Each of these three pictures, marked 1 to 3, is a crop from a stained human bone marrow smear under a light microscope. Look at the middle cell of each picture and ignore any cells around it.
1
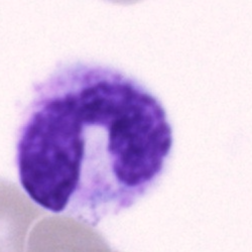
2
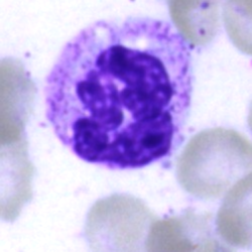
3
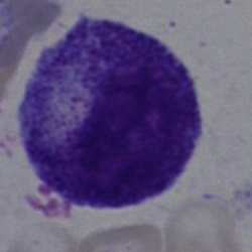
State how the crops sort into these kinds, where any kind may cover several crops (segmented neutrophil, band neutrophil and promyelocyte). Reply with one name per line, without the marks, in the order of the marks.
band neutrophil
segmented neutrophil
promyelocyte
